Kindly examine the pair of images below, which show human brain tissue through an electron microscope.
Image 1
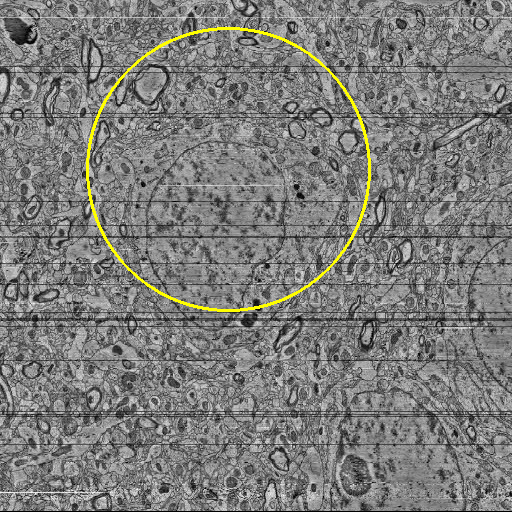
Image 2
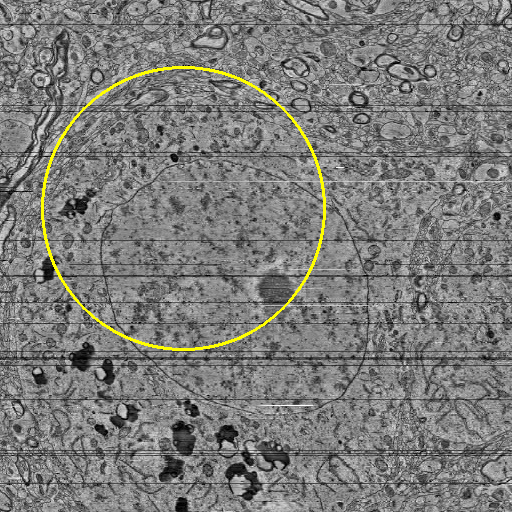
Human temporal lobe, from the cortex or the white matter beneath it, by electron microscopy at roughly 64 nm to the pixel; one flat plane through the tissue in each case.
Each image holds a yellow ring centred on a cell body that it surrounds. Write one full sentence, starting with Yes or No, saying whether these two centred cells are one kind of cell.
Yes, both cells at the centres of the yellow rings belong to one kind of cell.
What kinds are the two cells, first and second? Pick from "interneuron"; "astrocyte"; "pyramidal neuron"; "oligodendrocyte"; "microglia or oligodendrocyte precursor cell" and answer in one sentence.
Both cells are the same kind, each one being a pyramidal neuron.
